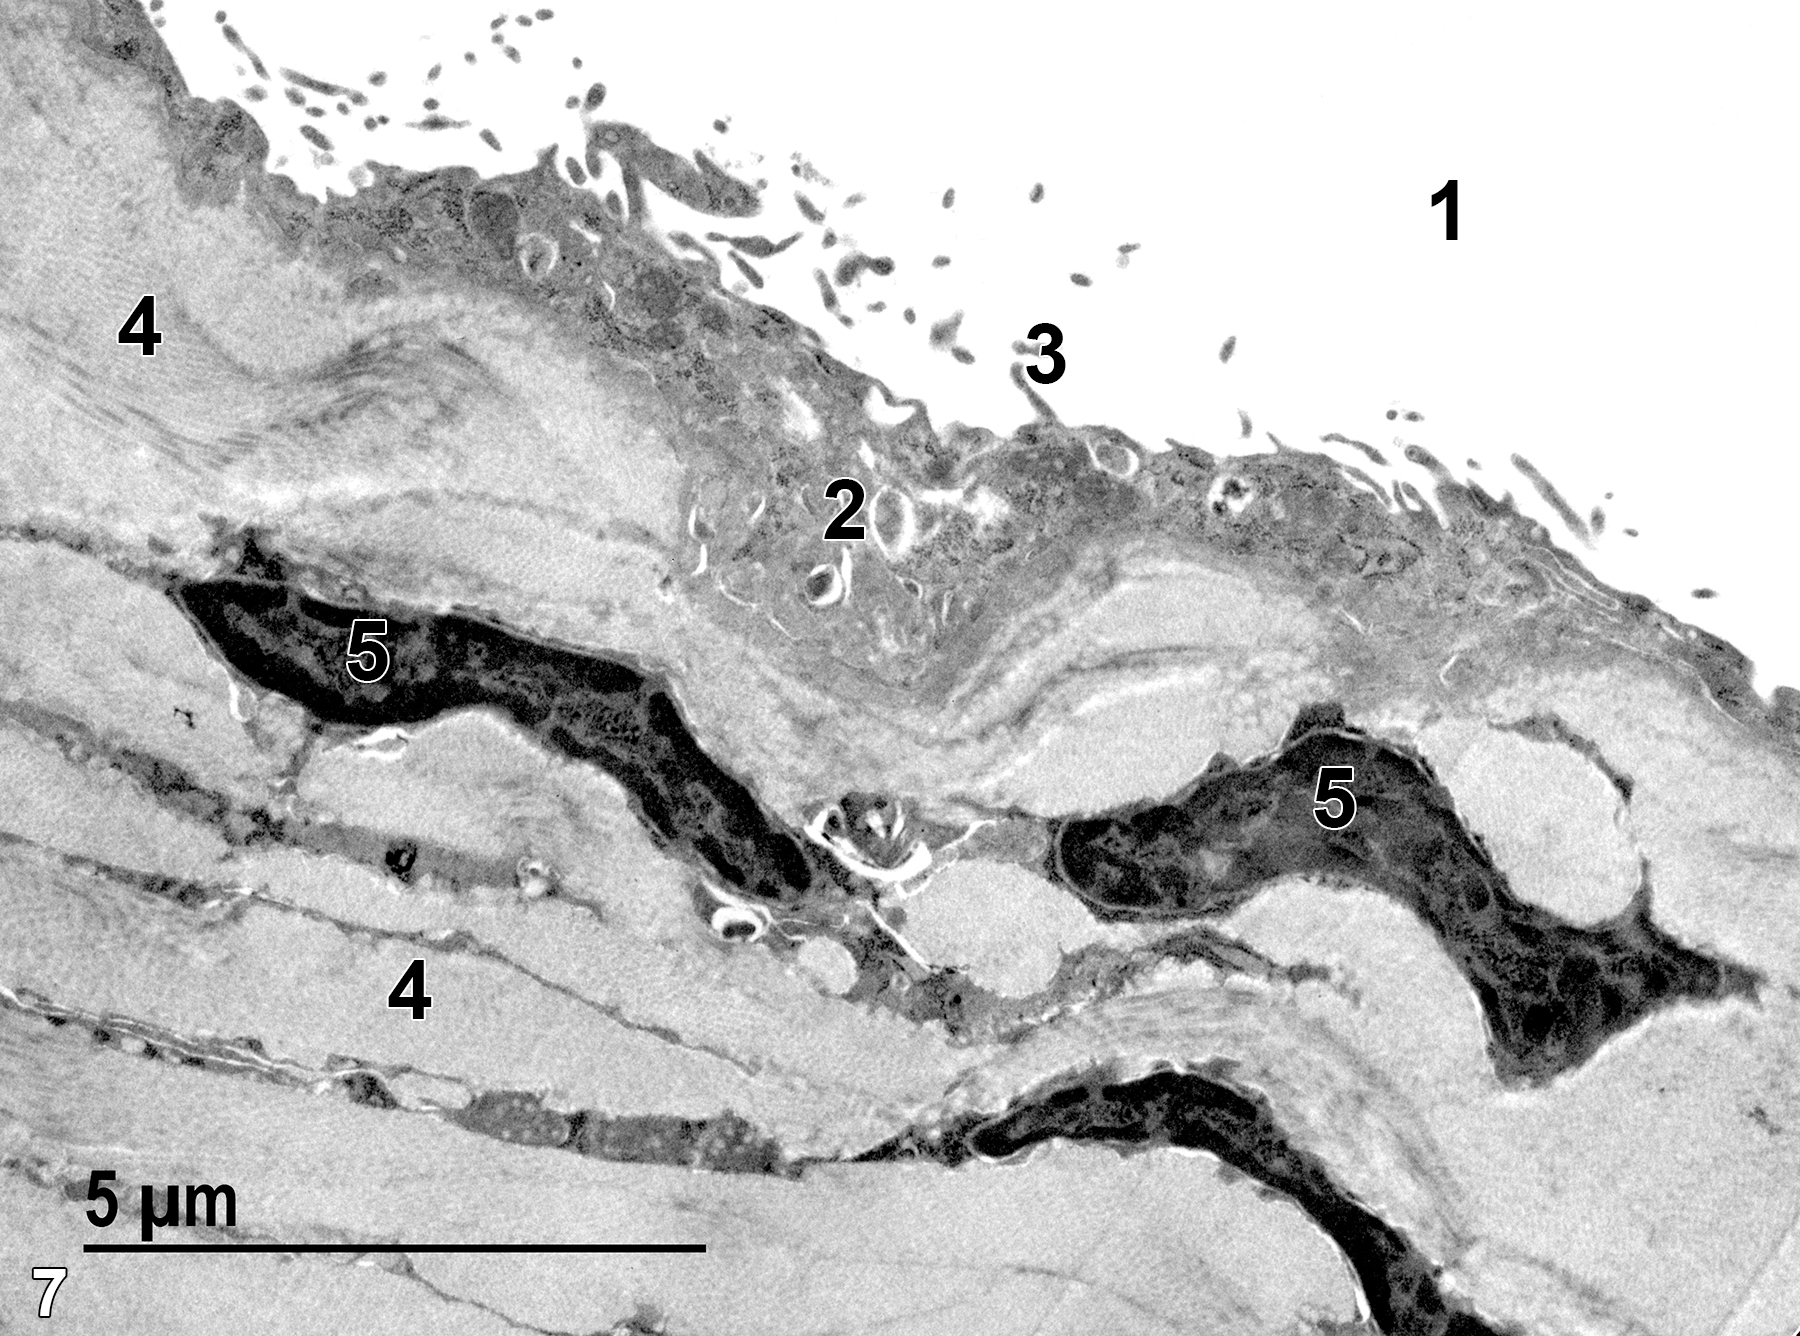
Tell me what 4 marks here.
At 4: bundles of collagen fibrils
